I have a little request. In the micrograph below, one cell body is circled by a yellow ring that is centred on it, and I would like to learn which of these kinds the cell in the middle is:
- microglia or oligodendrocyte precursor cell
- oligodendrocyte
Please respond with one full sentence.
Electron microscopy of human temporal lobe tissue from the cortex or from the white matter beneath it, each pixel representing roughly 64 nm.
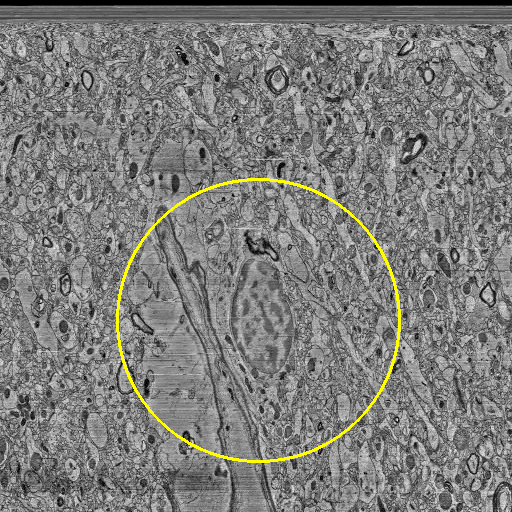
The cell sitting in the middle of the yellow ring in the micrograph is an oligodendrocyte.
